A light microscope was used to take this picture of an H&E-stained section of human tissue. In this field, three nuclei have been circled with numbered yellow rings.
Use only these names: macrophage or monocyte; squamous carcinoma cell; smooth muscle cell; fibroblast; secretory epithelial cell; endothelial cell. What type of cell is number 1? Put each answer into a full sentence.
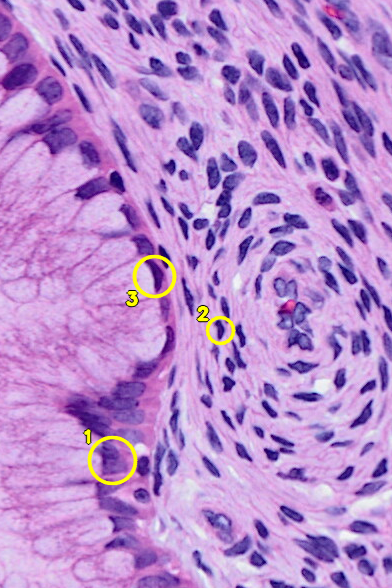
Here the cell numbered 1 is a secretory epithelial cell.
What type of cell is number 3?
The cell that carries the label 3 is a secretory epithelial cell.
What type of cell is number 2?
Among the marked nuclei, number 2 belongs to a fibroblast.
